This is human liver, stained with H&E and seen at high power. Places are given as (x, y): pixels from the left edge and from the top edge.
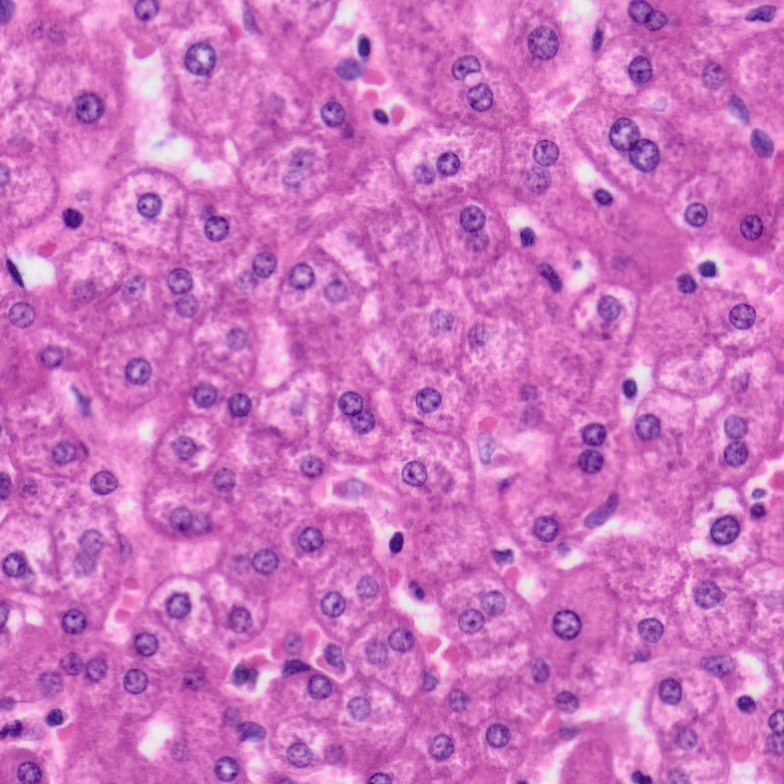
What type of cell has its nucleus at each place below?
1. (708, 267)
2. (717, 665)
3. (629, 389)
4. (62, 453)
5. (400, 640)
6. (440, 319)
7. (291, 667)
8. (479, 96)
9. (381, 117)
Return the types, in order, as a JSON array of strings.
["lymphocyte", "Kupffer cell", "lymphocyte", "hepatocyte", "hepatocyte", "hepatocyte", "fibroblast or stellate cell", "hepatocyte", "lymphocyte"]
